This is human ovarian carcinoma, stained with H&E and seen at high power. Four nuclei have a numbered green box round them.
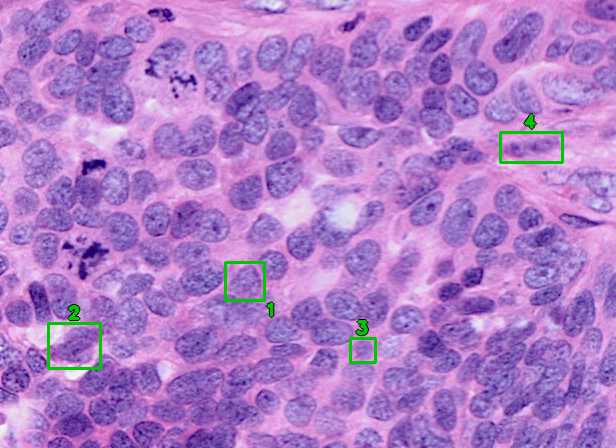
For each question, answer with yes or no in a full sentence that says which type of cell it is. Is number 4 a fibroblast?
Yes, the cell indicated by number 4 is a fibroblast.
